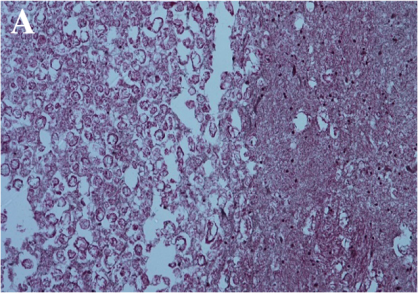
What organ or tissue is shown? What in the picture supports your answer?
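Left part of the field is loose and full of round vacuoles. Right part is denser, finely fibrillar with scattered nuclei. A fairly sharp border runs between the two regions. So: white and grey matter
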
